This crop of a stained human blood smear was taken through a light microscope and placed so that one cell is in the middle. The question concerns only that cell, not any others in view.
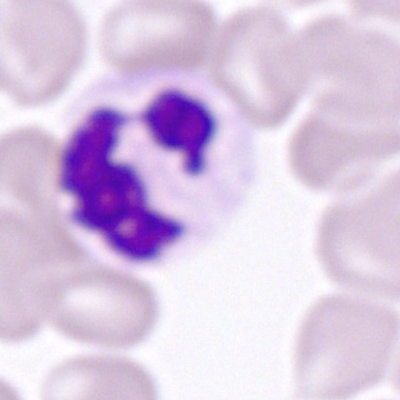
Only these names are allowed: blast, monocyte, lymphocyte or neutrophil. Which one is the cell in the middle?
neutrophil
